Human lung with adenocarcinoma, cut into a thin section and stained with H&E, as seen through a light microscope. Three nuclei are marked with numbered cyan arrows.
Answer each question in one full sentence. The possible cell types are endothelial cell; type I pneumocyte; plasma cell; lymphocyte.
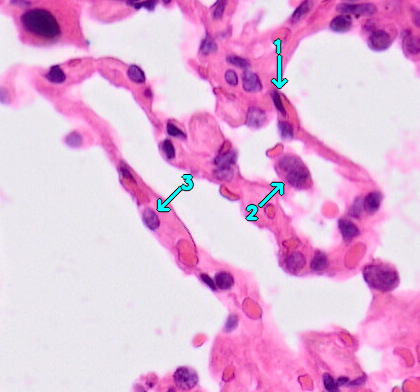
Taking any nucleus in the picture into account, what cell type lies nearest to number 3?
It is an endothelial cell whose nucleus is nearest to number 3.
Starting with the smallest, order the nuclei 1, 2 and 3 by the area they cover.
By area, going up from the smallest, they rank 1, 3, 2.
